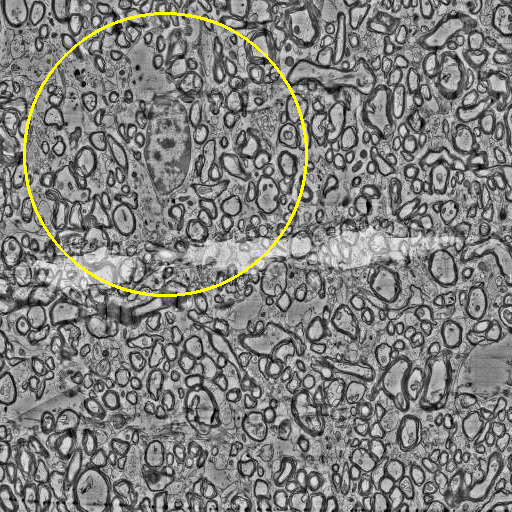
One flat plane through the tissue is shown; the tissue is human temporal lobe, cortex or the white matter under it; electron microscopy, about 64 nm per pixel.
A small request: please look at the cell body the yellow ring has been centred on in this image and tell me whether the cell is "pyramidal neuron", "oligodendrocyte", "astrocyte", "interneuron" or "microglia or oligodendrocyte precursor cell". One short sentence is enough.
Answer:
The cell marked by the ring is a microglial cell or oligodendrocyte precursor cell.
